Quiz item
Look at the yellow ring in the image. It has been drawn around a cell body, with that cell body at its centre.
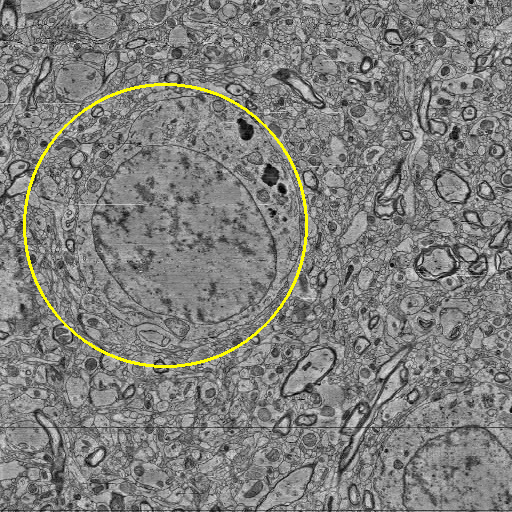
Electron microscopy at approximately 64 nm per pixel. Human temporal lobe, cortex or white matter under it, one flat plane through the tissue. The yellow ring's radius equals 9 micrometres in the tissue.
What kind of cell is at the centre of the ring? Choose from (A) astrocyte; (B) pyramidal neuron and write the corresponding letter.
B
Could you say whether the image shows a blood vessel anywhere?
No, no vessel appears in the picture.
